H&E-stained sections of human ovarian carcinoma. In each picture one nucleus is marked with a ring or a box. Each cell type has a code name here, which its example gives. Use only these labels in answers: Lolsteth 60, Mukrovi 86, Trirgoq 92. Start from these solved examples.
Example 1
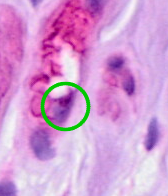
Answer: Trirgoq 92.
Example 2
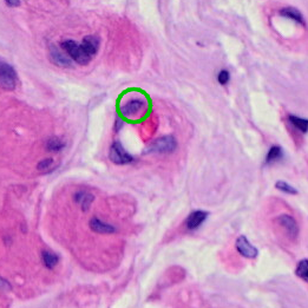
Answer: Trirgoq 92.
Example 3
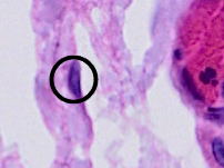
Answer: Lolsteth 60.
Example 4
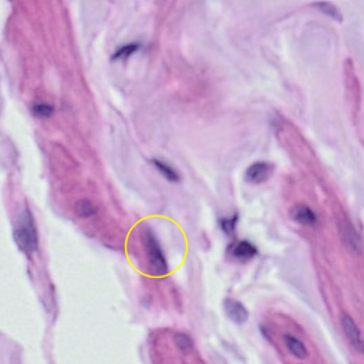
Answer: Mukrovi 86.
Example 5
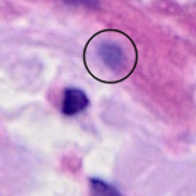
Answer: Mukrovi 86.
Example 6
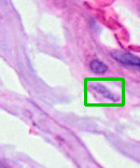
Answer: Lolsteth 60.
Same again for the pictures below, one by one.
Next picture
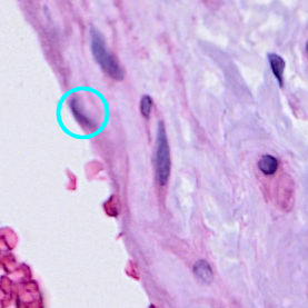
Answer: Trirgoq 92.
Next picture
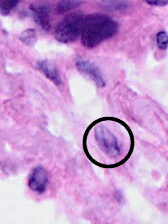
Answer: Lolsteth 60.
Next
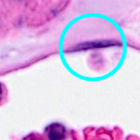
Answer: Trirgoq 92.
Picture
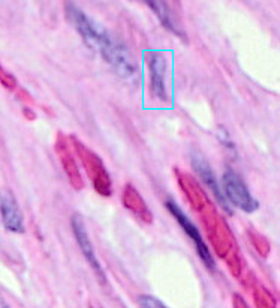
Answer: Lolsteth 60.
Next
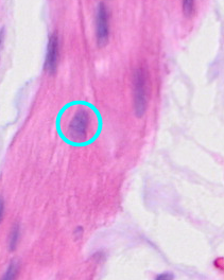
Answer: Mukrovi 86.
